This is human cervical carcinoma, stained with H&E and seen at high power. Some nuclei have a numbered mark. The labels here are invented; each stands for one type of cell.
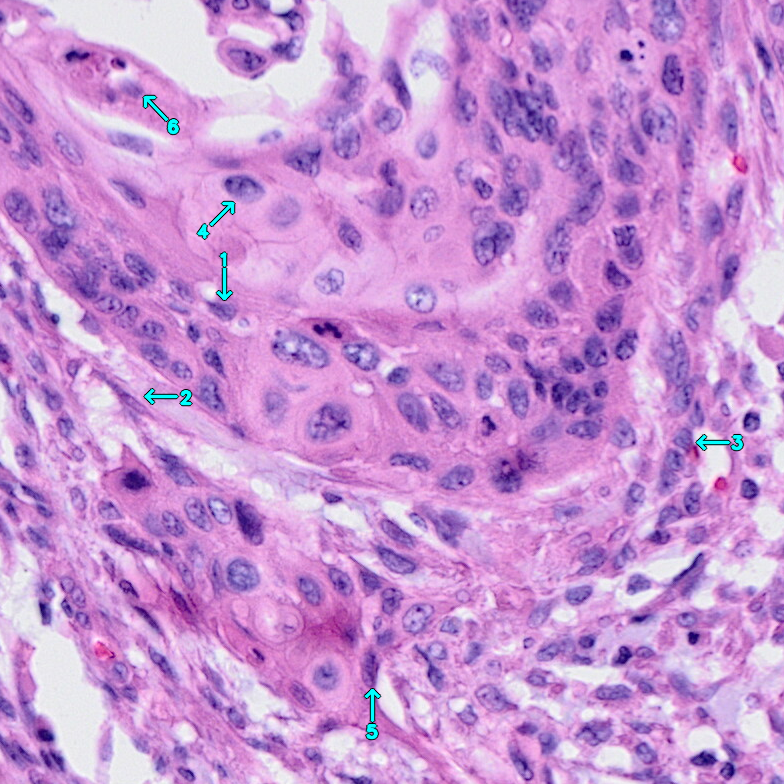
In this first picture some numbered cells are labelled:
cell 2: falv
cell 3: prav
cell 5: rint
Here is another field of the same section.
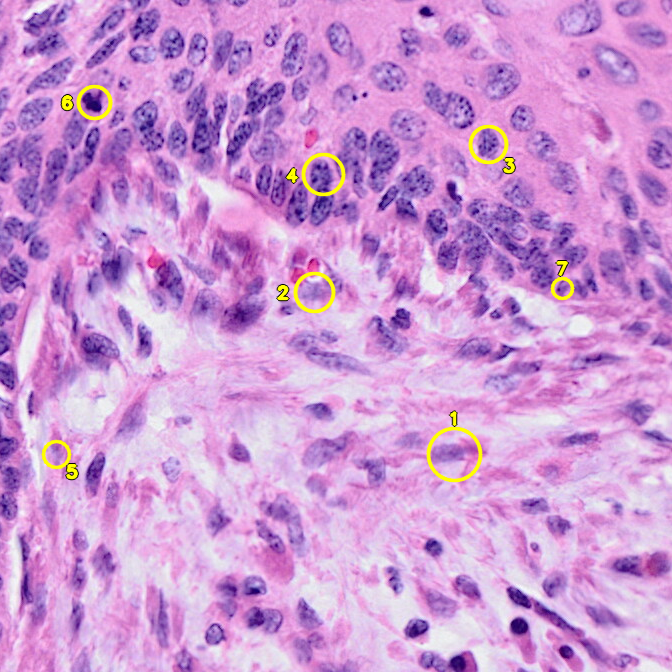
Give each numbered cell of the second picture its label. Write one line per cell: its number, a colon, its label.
1: falv
2: prav
3: rint
4: rint
5: falv
6: rint
7: rint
